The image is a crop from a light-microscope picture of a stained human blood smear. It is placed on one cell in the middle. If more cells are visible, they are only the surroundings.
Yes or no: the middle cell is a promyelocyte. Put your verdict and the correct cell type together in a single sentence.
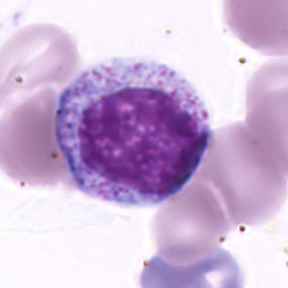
No, the cell in the middle should be called a myelocyte instead of a promyelocyte.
